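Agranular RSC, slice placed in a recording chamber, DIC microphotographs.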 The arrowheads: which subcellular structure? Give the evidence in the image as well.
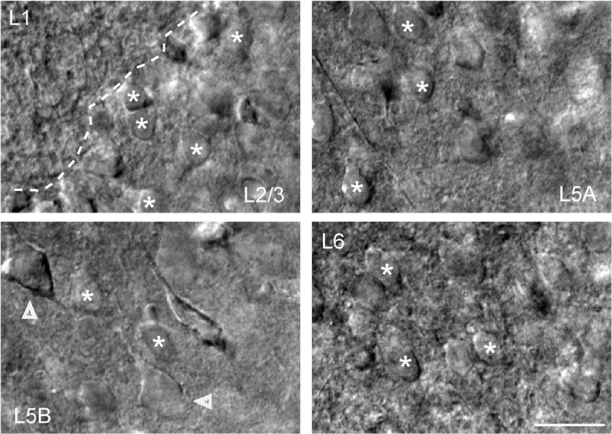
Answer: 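Two arrowheads sit at the edges of cell bodies in one field. The cell bodies next to the arrowheads are larger than those marked by asterisks.
Hence: soma.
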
